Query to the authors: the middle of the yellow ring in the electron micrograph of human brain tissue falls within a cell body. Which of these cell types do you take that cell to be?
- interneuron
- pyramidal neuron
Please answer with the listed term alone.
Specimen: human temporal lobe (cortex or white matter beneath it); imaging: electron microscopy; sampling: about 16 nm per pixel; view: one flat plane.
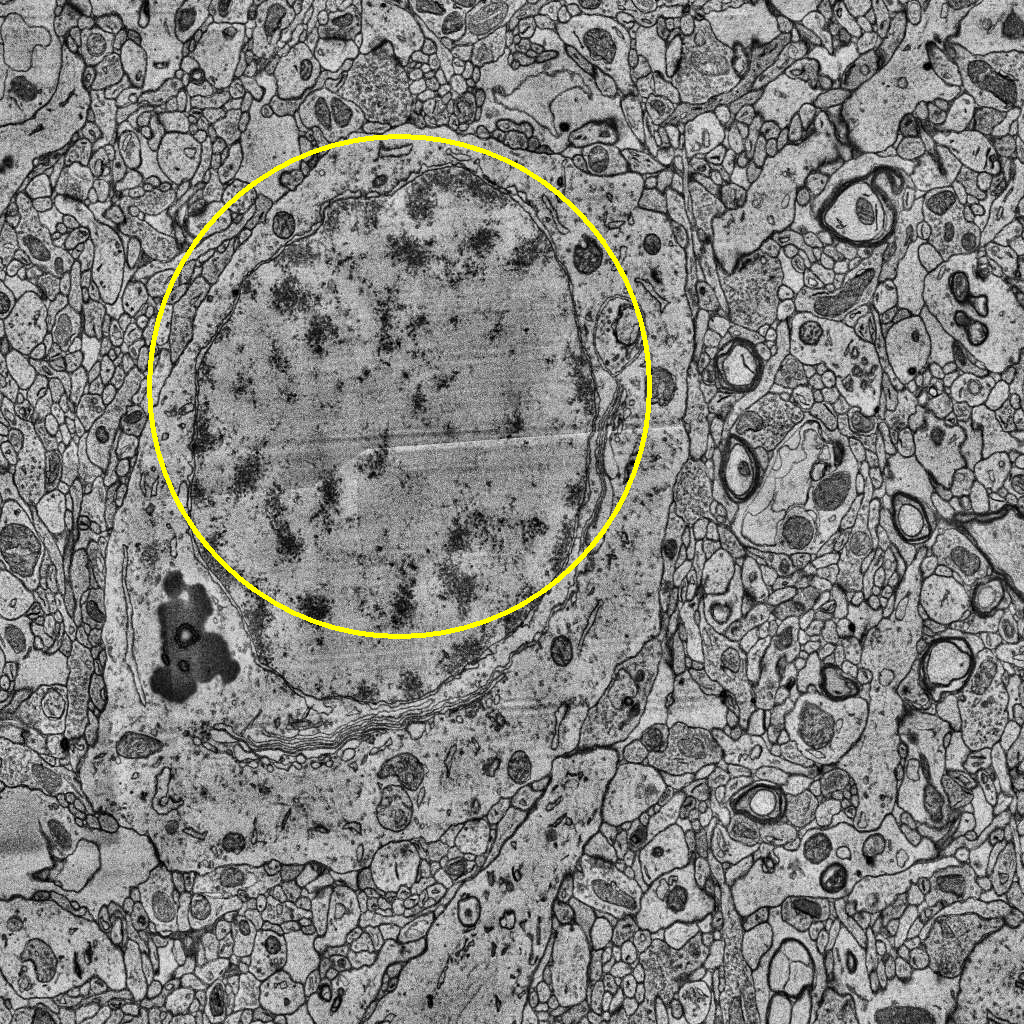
interneuron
